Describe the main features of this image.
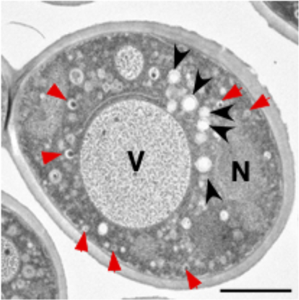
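This is a thin section through a single oval cell enclosed by a thick wall, with a large round pale vacuole in the middle and the nucleus beside it. The cytoplasm is dense and grainy, and scattered through it are many small round pale vesicles, some lying singly near the cell periphery and others packed into a cluster close to the vacuole.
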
